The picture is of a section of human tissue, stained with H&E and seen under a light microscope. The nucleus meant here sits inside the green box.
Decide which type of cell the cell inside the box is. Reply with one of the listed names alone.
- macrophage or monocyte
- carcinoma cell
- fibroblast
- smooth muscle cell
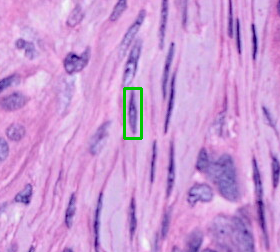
fibroblast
